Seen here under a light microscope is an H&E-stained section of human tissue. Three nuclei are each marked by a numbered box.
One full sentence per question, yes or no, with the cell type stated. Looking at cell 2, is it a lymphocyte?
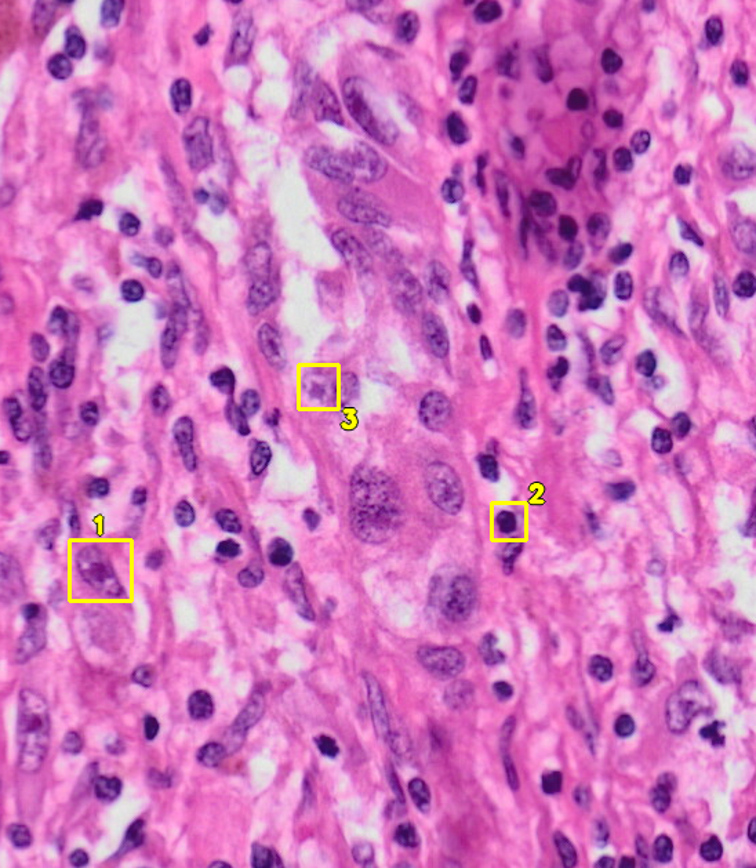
Yes, to put it simply, cell number 2 is a lymphocyte.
